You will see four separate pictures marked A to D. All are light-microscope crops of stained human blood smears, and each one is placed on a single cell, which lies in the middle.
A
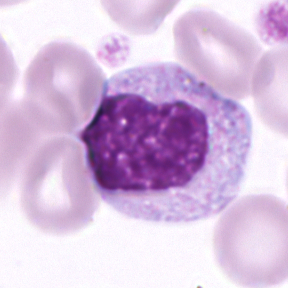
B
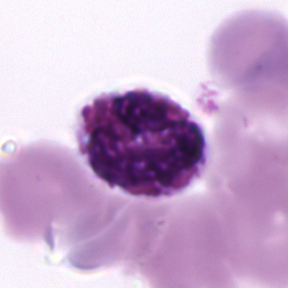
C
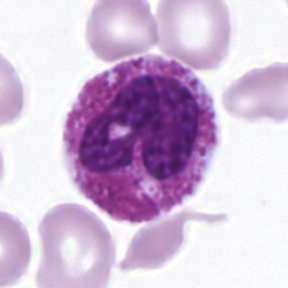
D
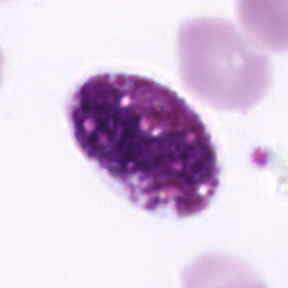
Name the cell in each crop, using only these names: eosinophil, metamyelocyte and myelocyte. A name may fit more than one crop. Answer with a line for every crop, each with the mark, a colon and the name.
A: myelocyte
B: eosinophil
C: eosinophil
D: eosinophil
